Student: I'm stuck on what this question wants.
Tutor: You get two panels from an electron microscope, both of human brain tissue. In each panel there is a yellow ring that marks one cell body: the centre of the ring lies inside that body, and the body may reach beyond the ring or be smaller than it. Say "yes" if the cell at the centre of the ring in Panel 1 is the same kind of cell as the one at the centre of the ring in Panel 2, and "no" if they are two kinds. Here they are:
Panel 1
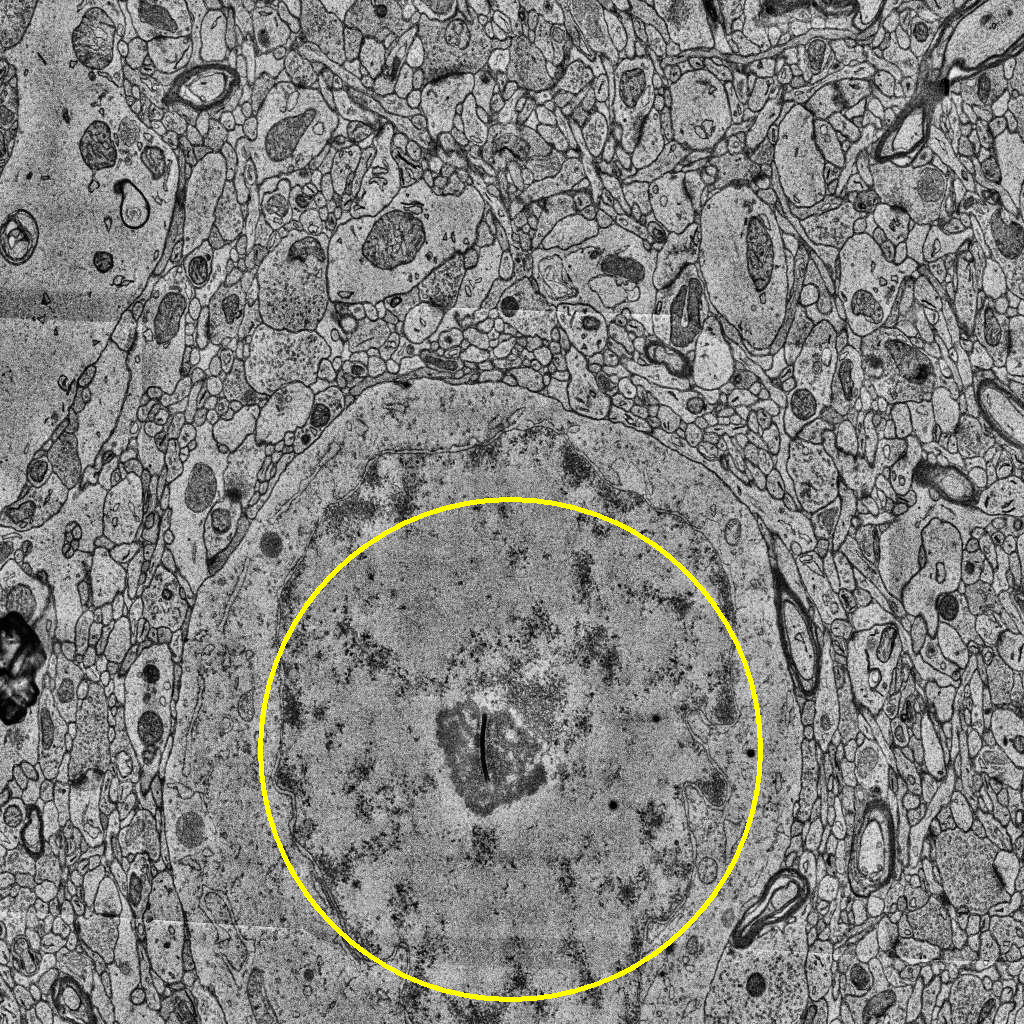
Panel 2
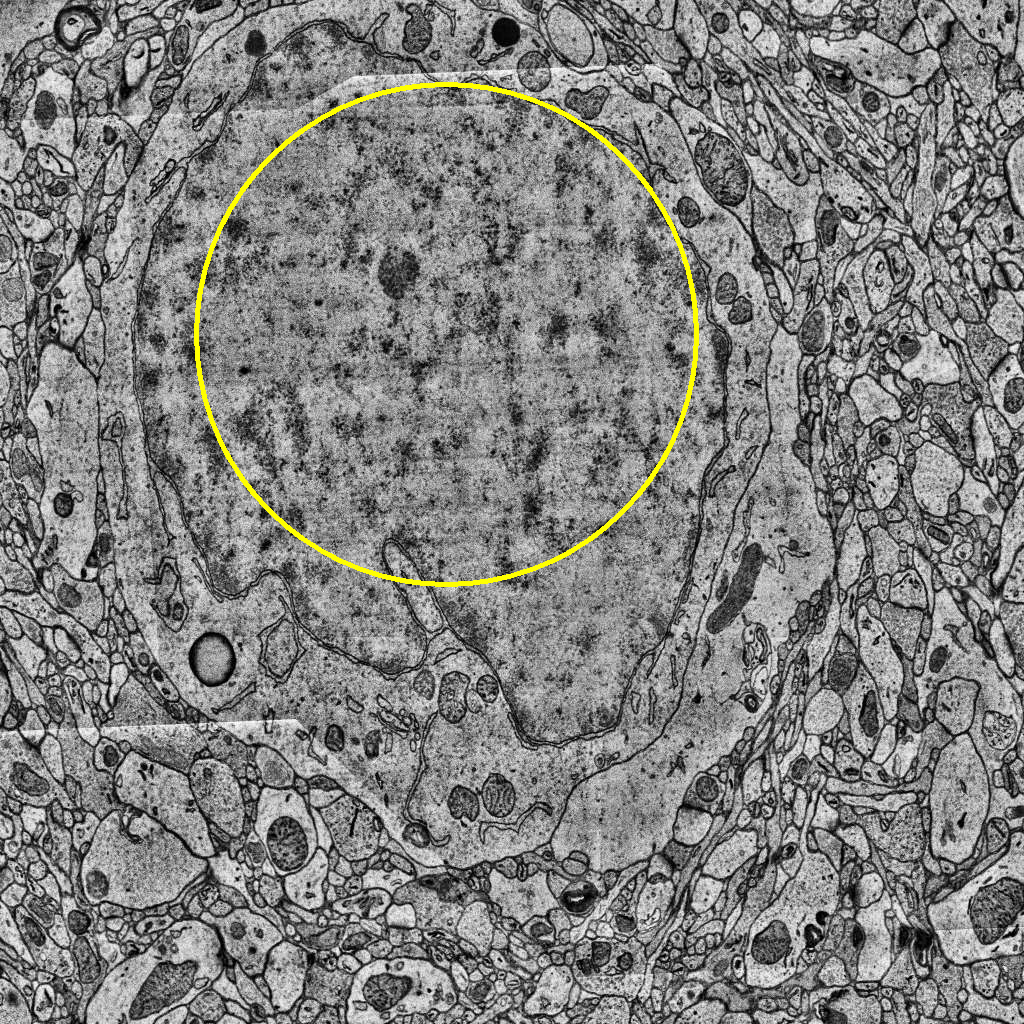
yes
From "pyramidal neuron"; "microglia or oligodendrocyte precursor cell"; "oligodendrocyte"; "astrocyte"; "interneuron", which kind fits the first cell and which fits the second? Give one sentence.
The cell at the ring centre is an interneuron in both pictures.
